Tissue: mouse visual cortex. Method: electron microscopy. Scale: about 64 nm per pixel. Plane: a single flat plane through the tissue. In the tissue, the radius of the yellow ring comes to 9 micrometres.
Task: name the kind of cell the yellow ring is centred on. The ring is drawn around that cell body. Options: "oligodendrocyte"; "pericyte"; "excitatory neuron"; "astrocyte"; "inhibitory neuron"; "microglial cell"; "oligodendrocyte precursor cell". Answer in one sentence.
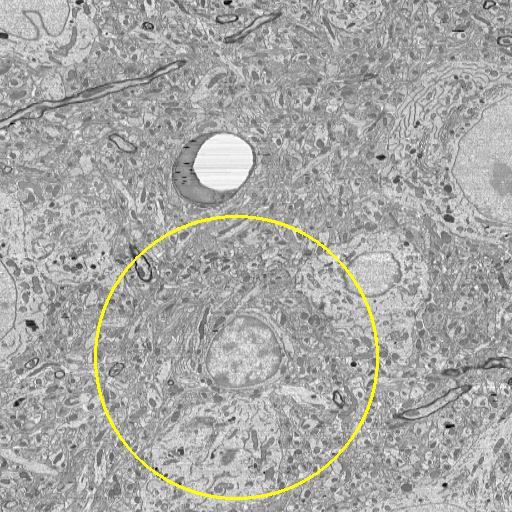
This cell body belongs to an oligodendrocyte.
